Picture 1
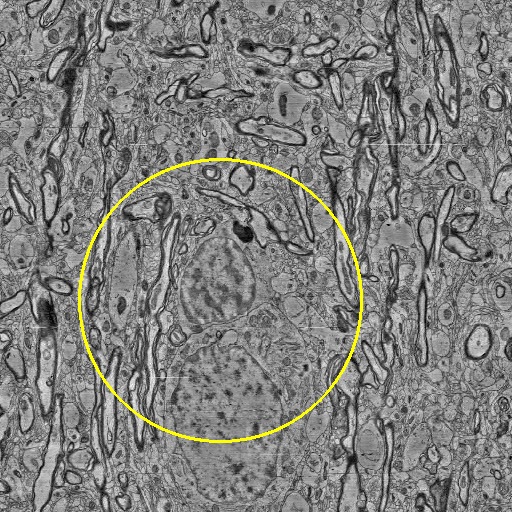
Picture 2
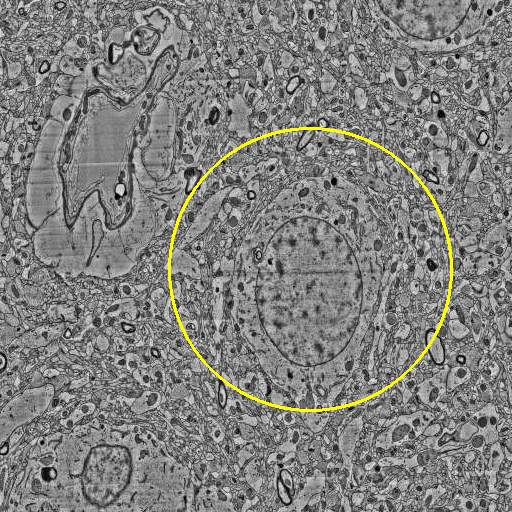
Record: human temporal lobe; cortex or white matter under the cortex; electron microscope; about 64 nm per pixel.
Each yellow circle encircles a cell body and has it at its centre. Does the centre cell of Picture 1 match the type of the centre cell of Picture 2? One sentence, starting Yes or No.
No, the cell centred in Picture 1 and the one in Picture 2 have separate types.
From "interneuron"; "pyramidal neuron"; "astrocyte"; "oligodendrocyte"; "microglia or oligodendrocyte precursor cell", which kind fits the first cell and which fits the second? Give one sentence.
The cell marked in the first picture is an oligodendrocyte, and the one marked in the second is a pyramidal neuron.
